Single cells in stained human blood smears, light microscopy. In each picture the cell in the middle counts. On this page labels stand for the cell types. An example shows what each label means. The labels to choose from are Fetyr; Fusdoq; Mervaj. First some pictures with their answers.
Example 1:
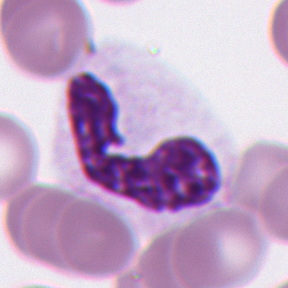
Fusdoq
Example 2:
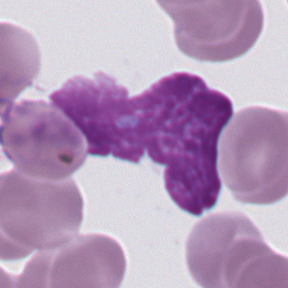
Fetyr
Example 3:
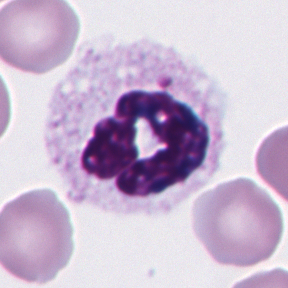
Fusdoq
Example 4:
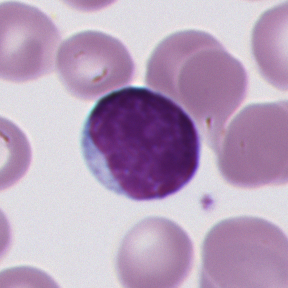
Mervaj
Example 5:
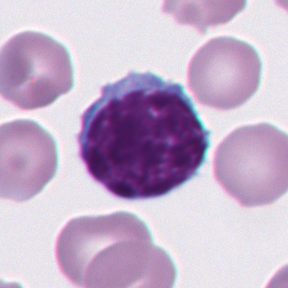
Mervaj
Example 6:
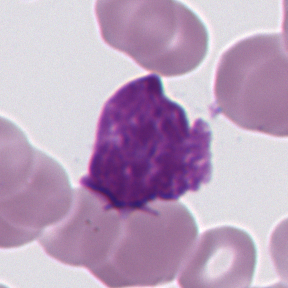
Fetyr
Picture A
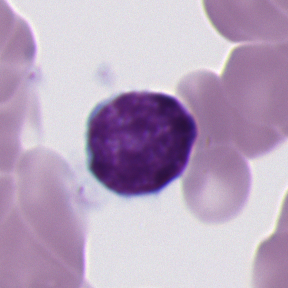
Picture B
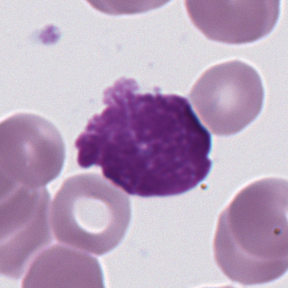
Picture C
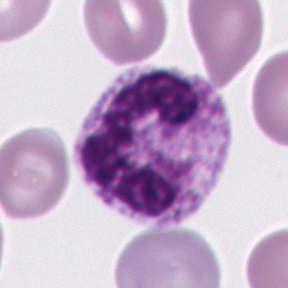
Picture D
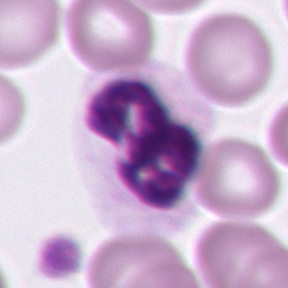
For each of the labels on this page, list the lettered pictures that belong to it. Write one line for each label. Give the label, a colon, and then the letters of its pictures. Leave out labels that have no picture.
Fetyr: B
Fusdoq: C, D
Mervaj: A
